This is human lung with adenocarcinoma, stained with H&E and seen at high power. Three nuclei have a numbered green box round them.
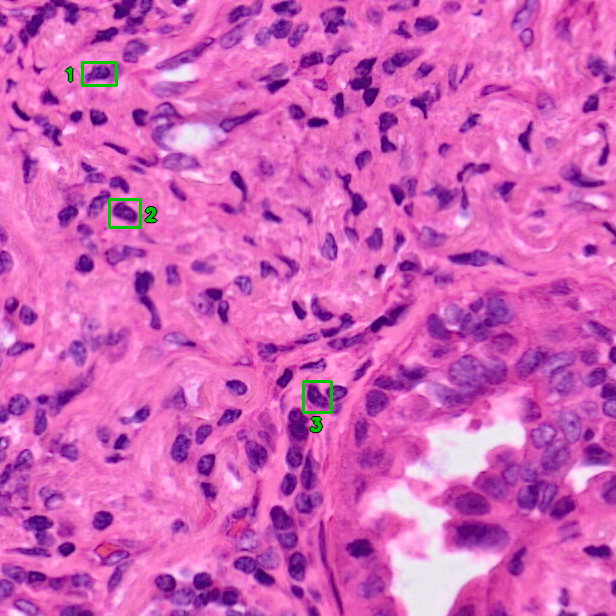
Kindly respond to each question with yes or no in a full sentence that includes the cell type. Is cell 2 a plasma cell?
Yes, and to answer plainly, cell 2 is a plasma cell.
